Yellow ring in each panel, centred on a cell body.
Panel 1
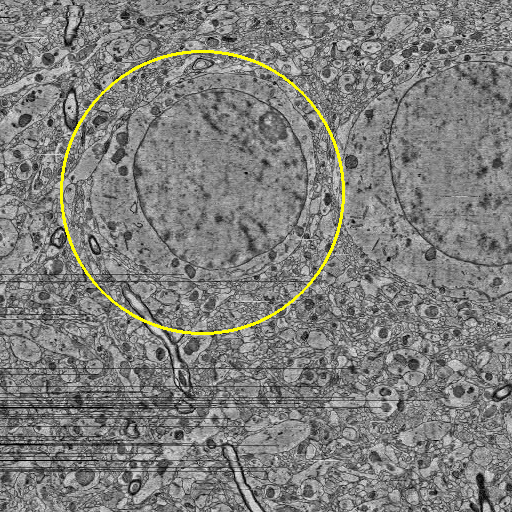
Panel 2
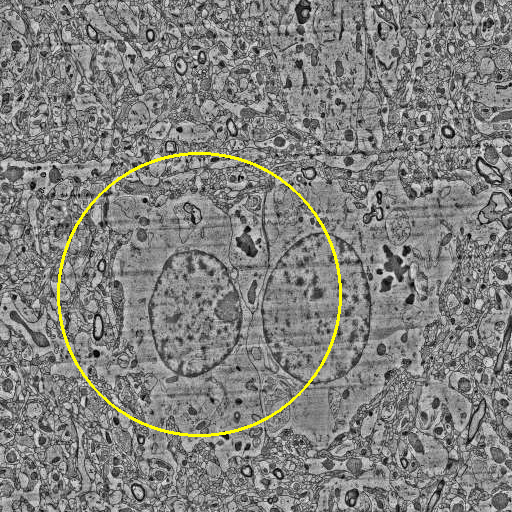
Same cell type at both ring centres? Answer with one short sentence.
No, the two cells are of two types.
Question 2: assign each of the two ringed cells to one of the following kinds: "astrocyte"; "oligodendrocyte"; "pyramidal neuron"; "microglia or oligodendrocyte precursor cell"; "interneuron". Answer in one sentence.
The two cells are a pyramidal neuron in the first picture and an astrocyte in the second.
